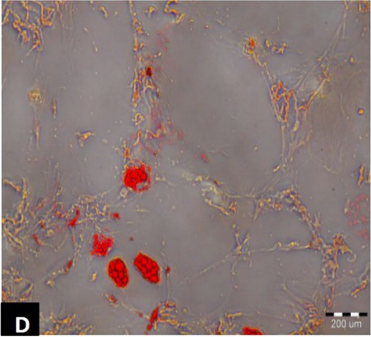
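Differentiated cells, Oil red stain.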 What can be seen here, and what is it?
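The droplets are packed together in rounded groups that fill the cell bodies. Around them, other cells form a loose network of thin, yellowish-orange strands and processes across the pale background. Large open areas between the strands contain few cells.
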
